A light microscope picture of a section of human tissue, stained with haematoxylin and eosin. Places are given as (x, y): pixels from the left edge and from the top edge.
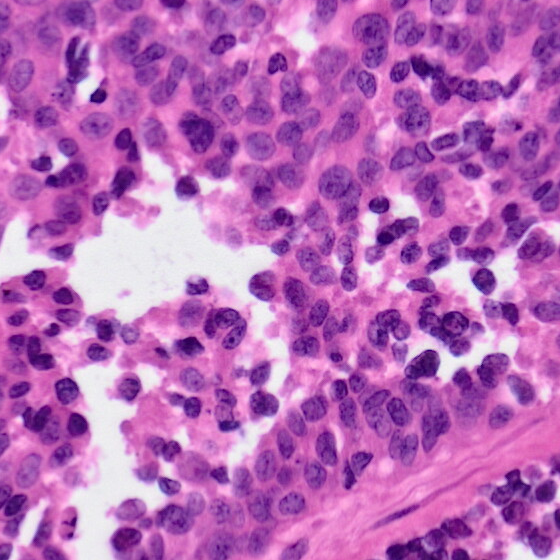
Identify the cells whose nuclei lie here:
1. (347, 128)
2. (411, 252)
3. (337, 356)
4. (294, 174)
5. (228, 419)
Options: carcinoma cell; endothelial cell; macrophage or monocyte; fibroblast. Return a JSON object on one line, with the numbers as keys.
{"1": "carcinoma cell", "2": "macrophage or monocyte", "3": "carcinoma cell", "4": "carcinoma cell", "5": "macrophage or monocyte"}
